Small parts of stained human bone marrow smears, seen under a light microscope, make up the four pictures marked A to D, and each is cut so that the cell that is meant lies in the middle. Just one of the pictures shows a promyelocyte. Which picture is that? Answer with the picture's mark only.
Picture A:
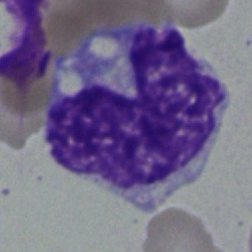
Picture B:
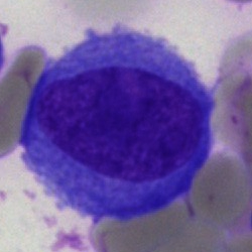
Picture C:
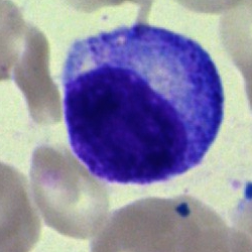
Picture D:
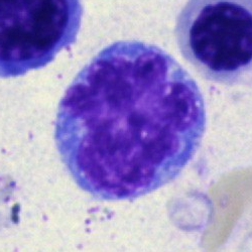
C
